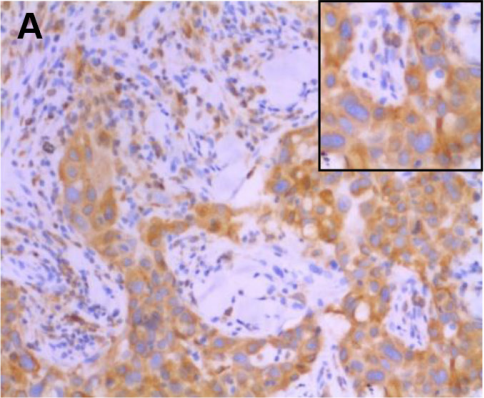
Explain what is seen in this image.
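Nests and cords of large tumor cells with large oval blue nuclei and abundant cytoplasm that is stained brown, lying within pale fibrous stroma. The stroma contains spindle-shaped cells and scattered small cells, many of which are also brown. The inset shows the brown cytoplasm of the polygonal tumor cells around pale nuclei at higher magnification.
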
